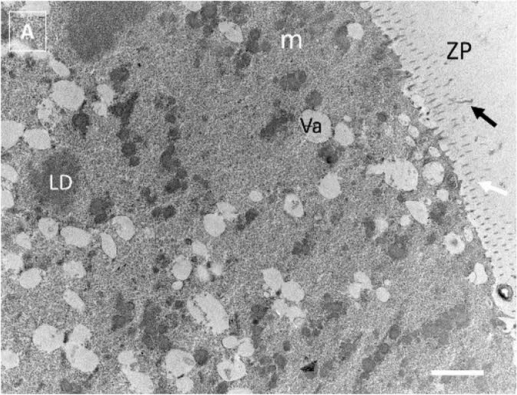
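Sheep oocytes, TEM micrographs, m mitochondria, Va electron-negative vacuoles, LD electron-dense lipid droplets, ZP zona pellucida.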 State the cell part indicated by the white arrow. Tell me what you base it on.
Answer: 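Numerous short dark striations line the cell border. They lie between the granular cytoplasm and the pale zona layer. So: microvilli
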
